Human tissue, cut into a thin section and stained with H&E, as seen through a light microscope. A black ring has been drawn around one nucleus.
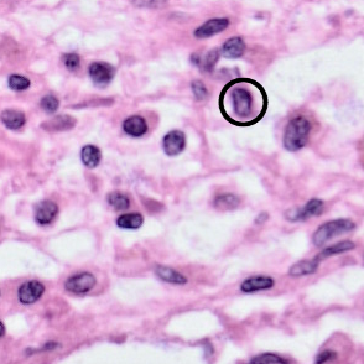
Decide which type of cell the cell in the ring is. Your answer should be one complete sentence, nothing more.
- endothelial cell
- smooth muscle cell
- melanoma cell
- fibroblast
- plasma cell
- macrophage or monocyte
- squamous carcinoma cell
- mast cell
As classified here, the cell in the ring is a macrophage or monocyte.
